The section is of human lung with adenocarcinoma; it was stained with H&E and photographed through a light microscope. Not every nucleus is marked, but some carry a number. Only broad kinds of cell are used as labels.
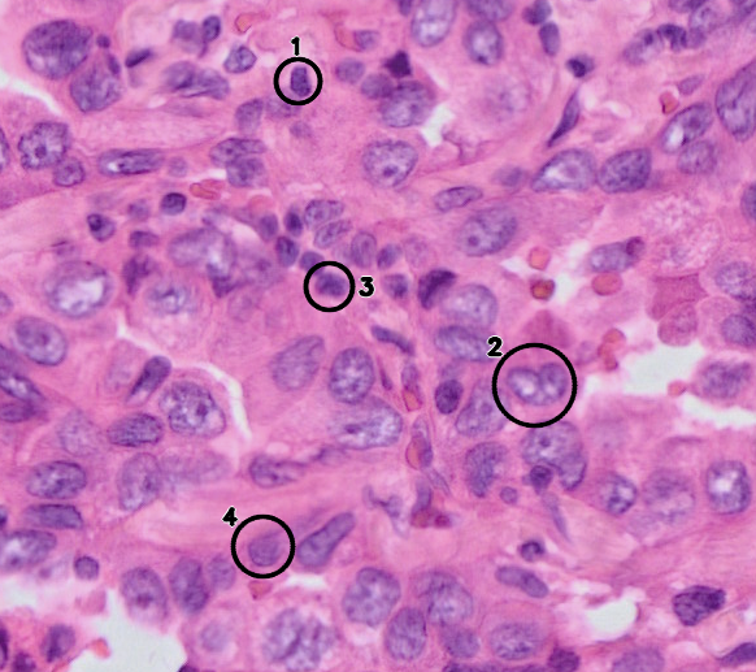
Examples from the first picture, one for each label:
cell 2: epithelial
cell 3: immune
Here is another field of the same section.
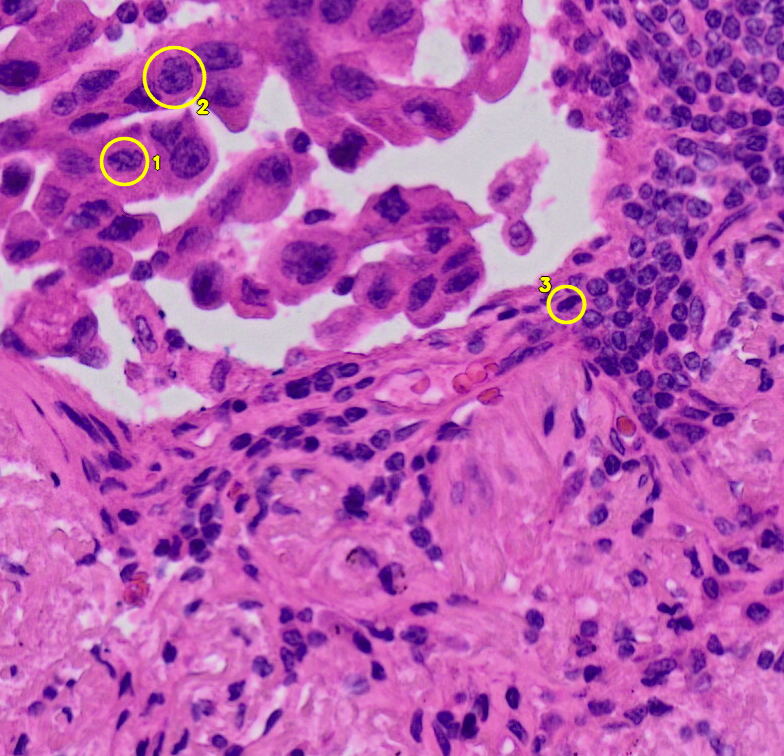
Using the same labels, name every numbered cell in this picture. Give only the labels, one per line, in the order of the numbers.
epithelial
epithelial
immune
